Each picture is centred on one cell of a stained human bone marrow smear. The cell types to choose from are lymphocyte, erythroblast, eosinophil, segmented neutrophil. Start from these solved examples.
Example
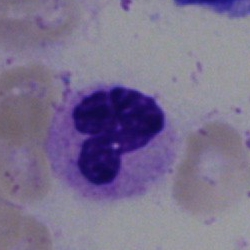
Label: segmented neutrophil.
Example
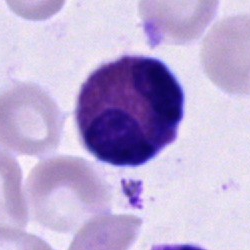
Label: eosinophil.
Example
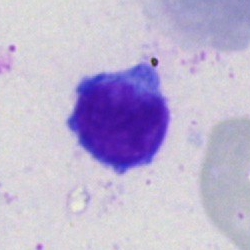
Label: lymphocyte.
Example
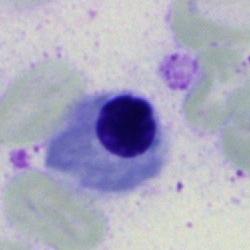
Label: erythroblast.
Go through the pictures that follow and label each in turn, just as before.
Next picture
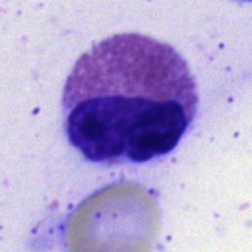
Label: eosinophil.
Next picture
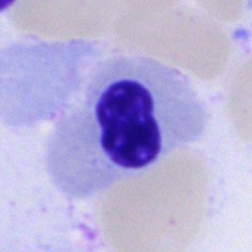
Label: erythroblast.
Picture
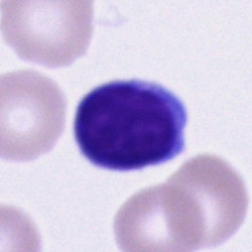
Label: lymphocyte.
